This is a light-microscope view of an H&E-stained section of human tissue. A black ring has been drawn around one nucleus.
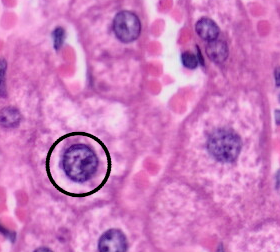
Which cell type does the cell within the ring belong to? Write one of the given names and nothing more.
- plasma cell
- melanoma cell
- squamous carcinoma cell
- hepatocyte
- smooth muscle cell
hepatocyte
